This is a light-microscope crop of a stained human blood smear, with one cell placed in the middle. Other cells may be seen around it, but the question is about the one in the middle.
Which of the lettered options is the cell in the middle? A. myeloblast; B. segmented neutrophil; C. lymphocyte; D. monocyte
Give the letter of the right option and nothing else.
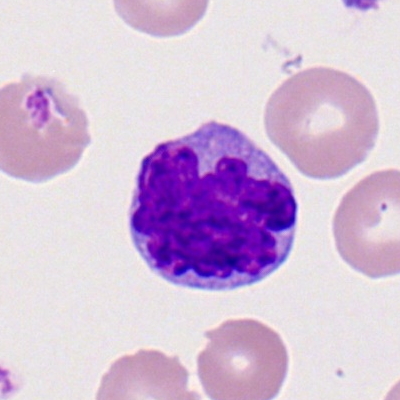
D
